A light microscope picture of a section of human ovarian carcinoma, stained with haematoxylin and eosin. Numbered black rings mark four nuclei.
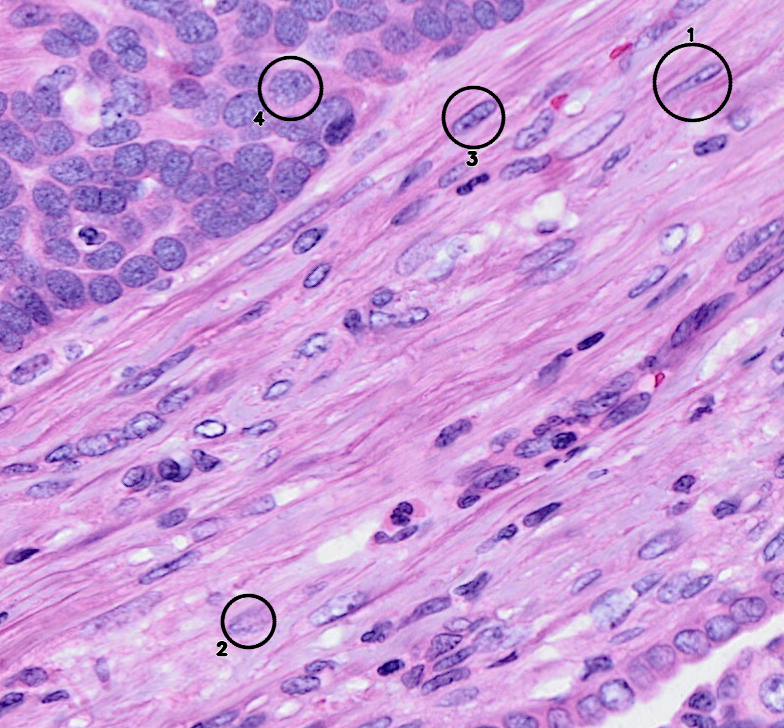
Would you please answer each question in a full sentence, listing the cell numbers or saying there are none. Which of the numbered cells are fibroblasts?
The cells carrying labels 1, 2 and 3 are fibroblasts.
